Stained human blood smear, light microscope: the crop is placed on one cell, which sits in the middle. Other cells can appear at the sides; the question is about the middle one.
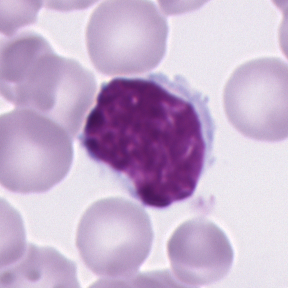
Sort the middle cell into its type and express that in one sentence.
At the crop's centre, the cell is a lymphocyte.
